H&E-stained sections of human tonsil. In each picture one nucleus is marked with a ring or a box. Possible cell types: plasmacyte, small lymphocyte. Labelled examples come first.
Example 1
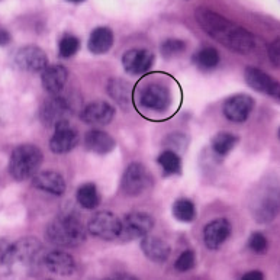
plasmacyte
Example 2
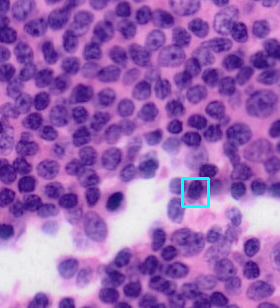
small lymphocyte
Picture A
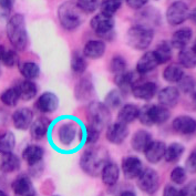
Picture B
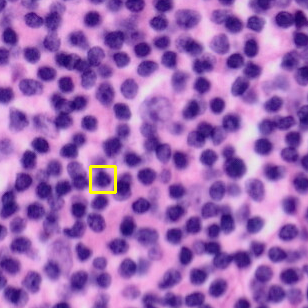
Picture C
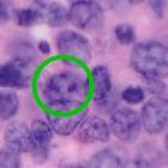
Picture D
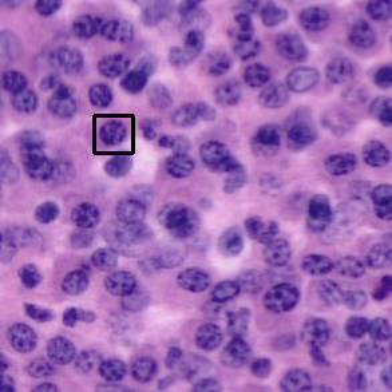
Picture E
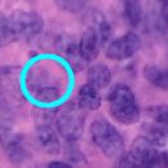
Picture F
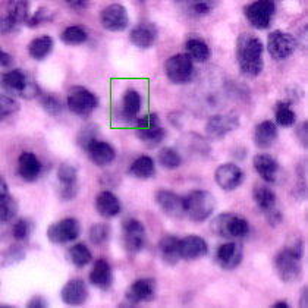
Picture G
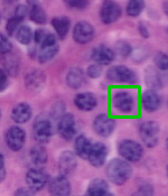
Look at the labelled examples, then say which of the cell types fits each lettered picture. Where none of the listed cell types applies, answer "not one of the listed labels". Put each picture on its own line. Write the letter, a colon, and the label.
A: small lymphocyte
B: small lymphocyte
C: not one of the listed labels
D: plasmacyte
E: not one of the listed labels
F: not one of the listed labels
G: plasmacyte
